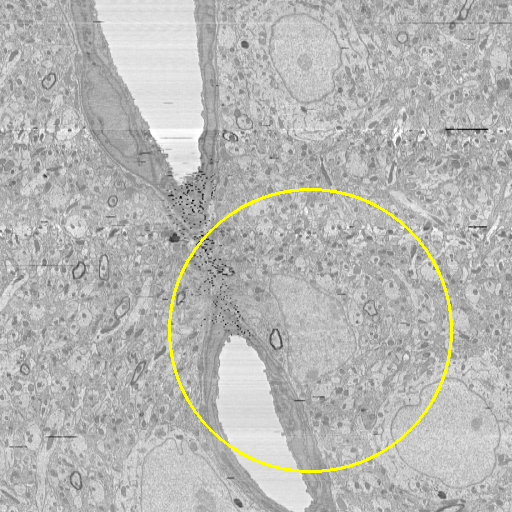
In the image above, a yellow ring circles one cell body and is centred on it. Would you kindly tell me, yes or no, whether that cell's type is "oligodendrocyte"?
no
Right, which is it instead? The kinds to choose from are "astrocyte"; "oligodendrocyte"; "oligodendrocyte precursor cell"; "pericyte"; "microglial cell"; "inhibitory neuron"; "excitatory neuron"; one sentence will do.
What the ring encloses here is an astrocyte.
